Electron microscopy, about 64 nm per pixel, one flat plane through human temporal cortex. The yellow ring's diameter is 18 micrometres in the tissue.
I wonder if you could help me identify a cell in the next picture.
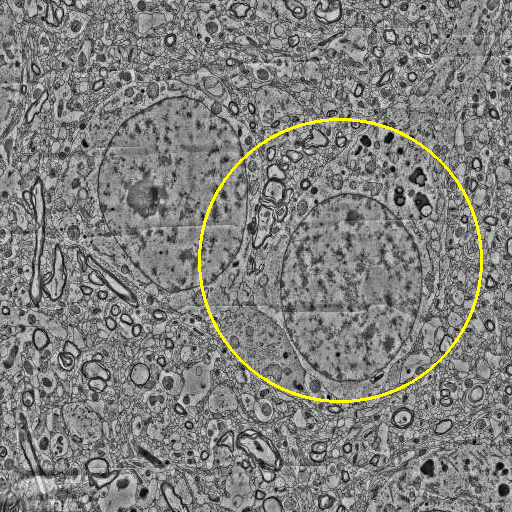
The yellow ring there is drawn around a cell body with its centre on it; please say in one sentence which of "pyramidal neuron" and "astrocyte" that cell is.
The yellow ring is centred on a pyramidal neuron.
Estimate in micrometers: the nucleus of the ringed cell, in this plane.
The nucleus is approximately 12 micrometers long by 9 micrometers wide in this plane.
